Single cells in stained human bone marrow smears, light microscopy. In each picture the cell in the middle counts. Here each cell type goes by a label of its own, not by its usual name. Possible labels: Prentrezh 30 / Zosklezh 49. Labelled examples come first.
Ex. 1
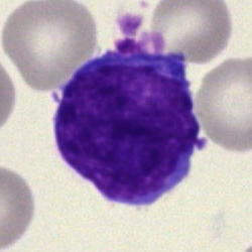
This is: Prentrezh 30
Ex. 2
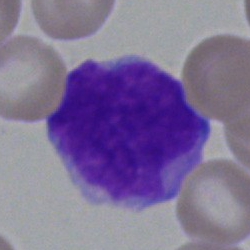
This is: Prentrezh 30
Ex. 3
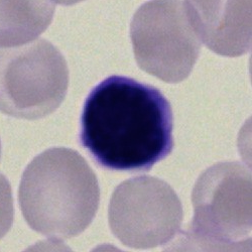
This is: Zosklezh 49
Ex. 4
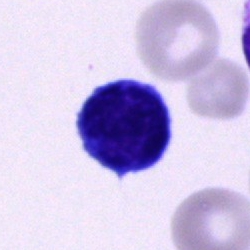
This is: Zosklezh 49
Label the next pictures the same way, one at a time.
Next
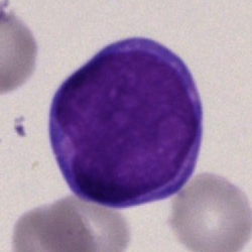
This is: Prentrezh 30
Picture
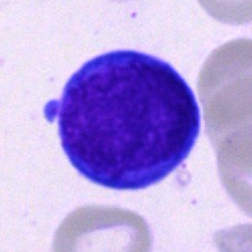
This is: Prentrezh 30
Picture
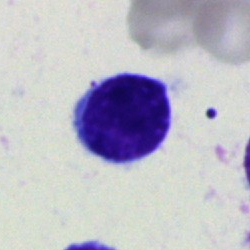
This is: Zosklezh 49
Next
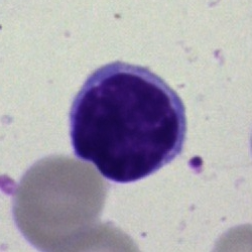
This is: Zosklezh 49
